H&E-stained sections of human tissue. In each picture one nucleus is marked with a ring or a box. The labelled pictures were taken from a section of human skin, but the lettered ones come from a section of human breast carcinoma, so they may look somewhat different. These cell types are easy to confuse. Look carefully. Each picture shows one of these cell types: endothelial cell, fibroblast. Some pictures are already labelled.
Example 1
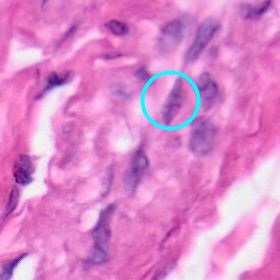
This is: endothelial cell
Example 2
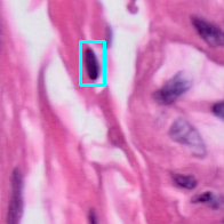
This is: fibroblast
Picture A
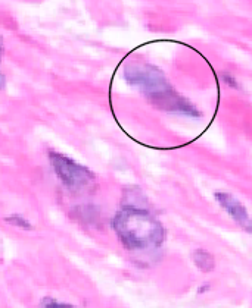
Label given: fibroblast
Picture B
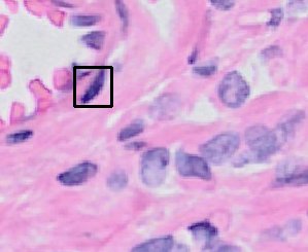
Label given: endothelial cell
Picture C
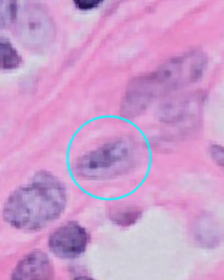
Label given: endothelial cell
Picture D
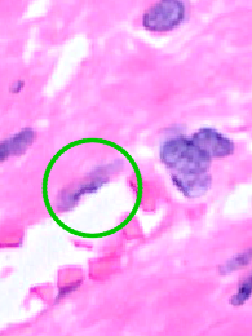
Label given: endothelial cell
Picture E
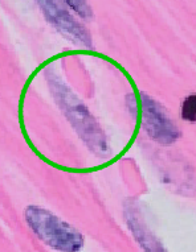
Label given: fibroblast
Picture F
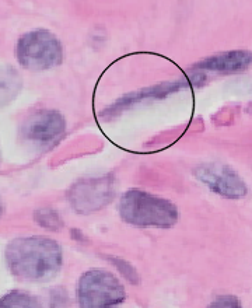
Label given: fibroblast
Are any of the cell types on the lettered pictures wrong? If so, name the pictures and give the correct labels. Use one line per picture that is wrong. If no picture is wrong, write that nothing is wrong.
E: not fibroblast but endothelial cell
F: not fibroblast but endothelial cell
